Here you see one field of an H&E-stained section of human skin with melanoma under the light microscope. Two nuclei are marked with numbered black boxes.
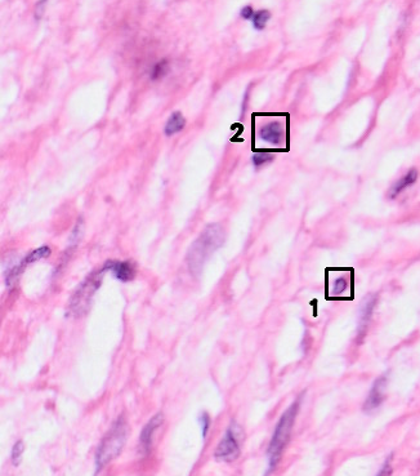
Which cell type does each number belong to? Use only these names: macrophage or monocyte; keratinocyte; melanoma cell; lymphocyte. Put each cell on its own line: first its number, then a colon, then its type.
1: macrophage or monocyte
2: lymphocyte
